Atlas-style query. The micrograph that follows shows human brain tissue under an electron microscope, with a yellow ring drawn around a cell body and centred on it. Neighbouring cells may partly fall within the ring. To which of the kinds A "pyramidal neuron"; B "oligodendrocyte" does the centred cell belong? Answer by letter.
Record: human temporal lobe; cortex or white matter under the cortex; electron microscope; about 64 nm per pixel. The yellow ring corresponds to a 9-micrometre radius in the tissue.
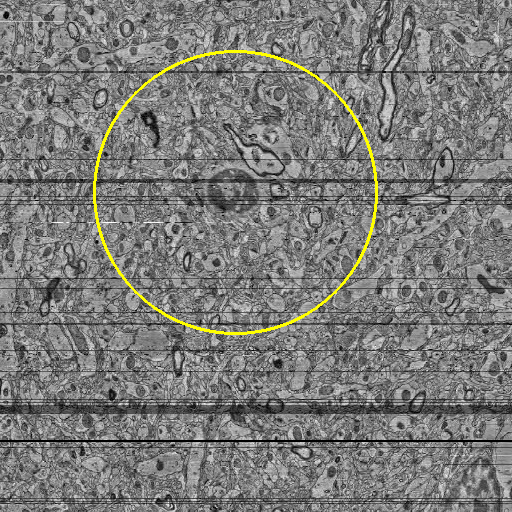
B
